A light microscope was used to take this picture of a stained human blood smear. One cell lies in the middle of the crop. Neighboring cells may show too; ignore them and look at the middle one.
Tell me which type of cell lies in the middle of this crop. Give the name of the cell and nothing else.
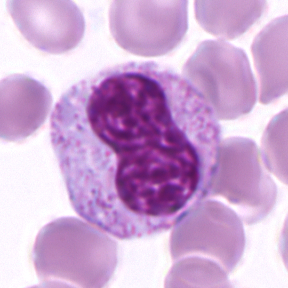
metamyelocyte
